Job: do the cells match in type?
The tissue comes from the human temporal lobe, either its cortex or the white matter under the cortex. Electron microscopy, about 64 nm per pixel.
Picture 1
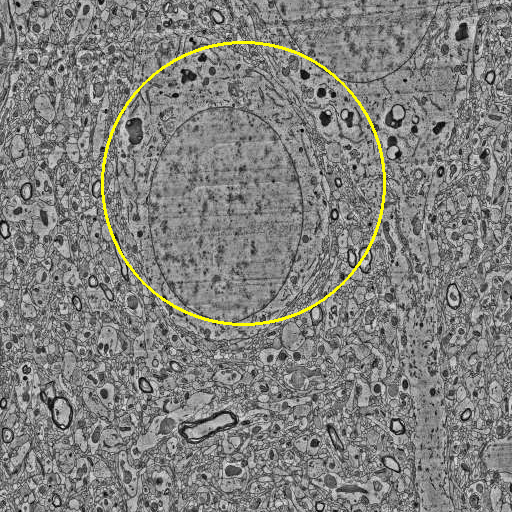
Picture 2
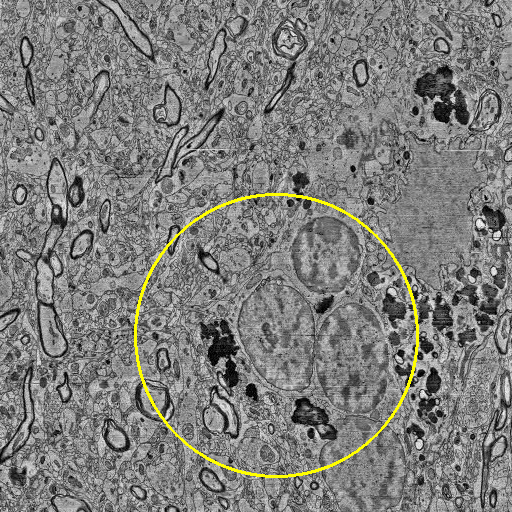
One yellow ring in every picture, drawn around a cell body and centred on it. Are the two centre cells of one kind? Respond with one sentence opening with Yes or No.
No, the ringed cells in the two pictures are of two separate kinds.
